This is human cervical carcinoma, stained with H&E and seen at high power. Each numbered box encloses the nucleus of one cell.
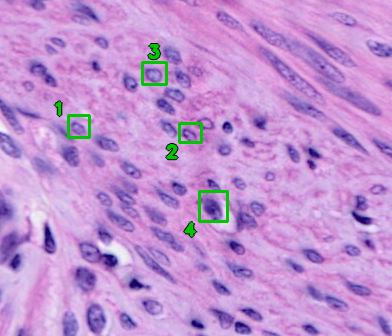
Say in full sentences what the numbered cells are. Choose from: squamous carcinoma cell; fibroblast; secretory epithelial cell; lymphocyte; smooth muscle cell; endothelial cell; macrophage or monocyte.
Cell 1 is a smooth muscle cell, cell 2 is a smooth muscle cell, cell 3 is a smooth muscle cell and cell 4 is a lymphocyte.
